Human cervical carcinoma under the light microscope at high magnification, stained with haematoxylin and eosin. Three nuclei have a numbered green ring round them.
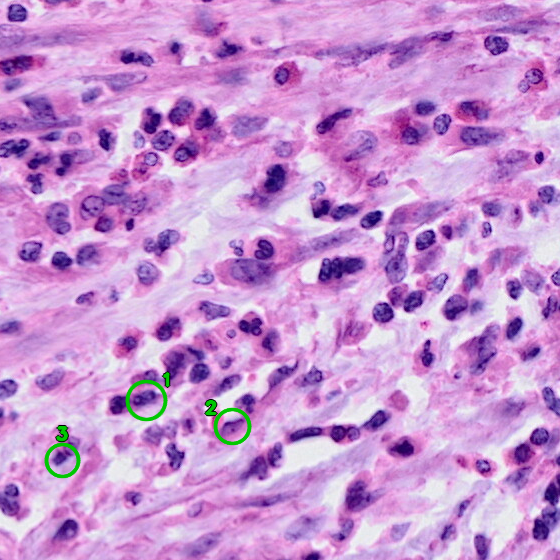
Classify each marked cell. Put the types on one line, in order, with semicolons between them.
lymphocyte; endothelial cell; lymphocyte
